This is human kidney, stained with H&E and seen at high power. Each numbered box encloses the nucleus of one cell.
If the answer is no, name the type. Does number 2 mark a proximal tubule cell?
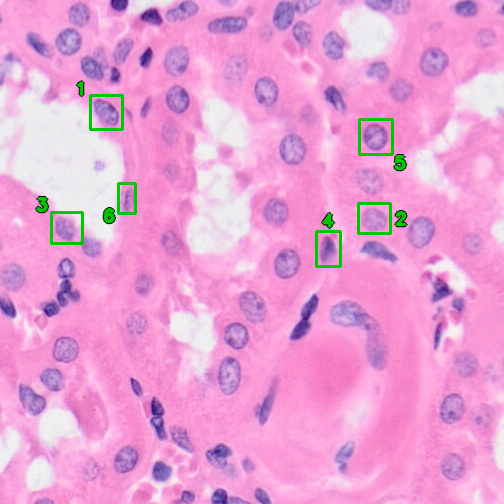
Yes.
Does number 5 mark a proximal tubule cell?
Yes.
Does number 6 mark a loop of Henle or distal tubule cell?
Yes.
